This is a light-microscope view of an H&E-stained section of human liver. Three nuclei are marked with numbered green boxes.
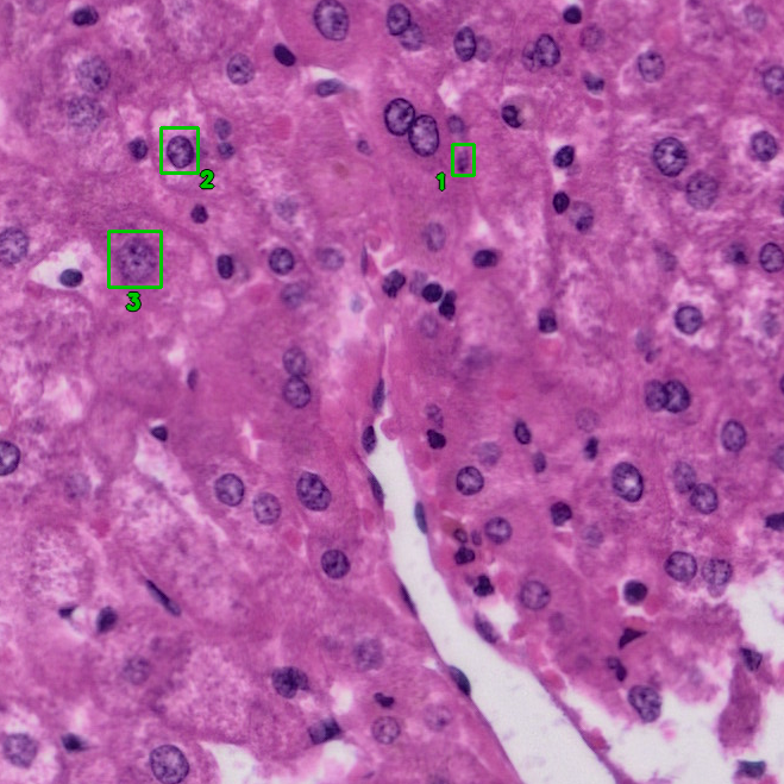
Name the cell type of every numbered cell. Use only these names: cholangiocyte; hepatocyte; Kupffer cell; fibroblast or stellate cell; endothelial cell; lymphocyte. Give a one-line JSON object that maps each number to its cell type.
{"1": "fibroblast or stellate cell", "2": "hepatocyte", "3": "hepatocyte"}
